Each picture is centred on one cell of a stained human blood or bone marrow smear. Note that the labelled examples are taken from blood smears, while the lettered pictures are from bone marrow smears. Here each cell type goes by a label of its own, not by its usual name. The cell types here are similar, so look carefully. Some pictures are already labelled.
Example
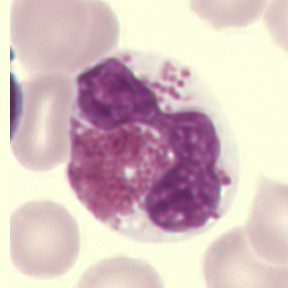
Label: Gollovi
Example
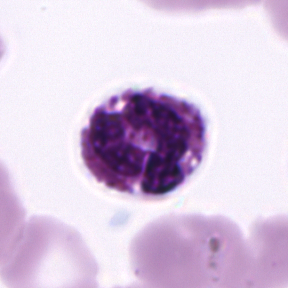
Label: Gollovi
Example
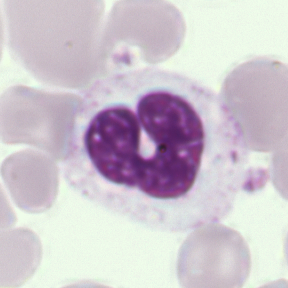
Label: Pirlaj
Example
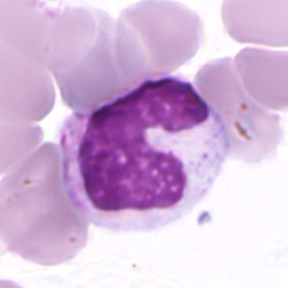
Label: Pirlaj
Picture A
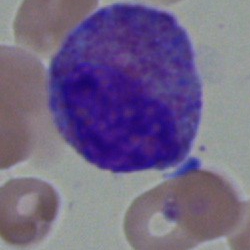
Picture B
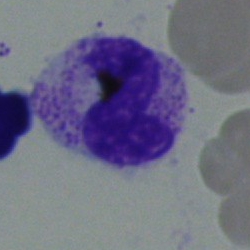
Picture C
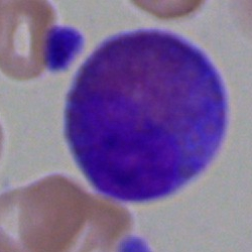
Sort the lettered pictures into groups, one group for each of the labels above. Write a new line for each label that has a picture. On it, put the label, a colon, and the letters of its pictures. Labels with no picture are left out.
Gollovi: A, C
Pirlaj: B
